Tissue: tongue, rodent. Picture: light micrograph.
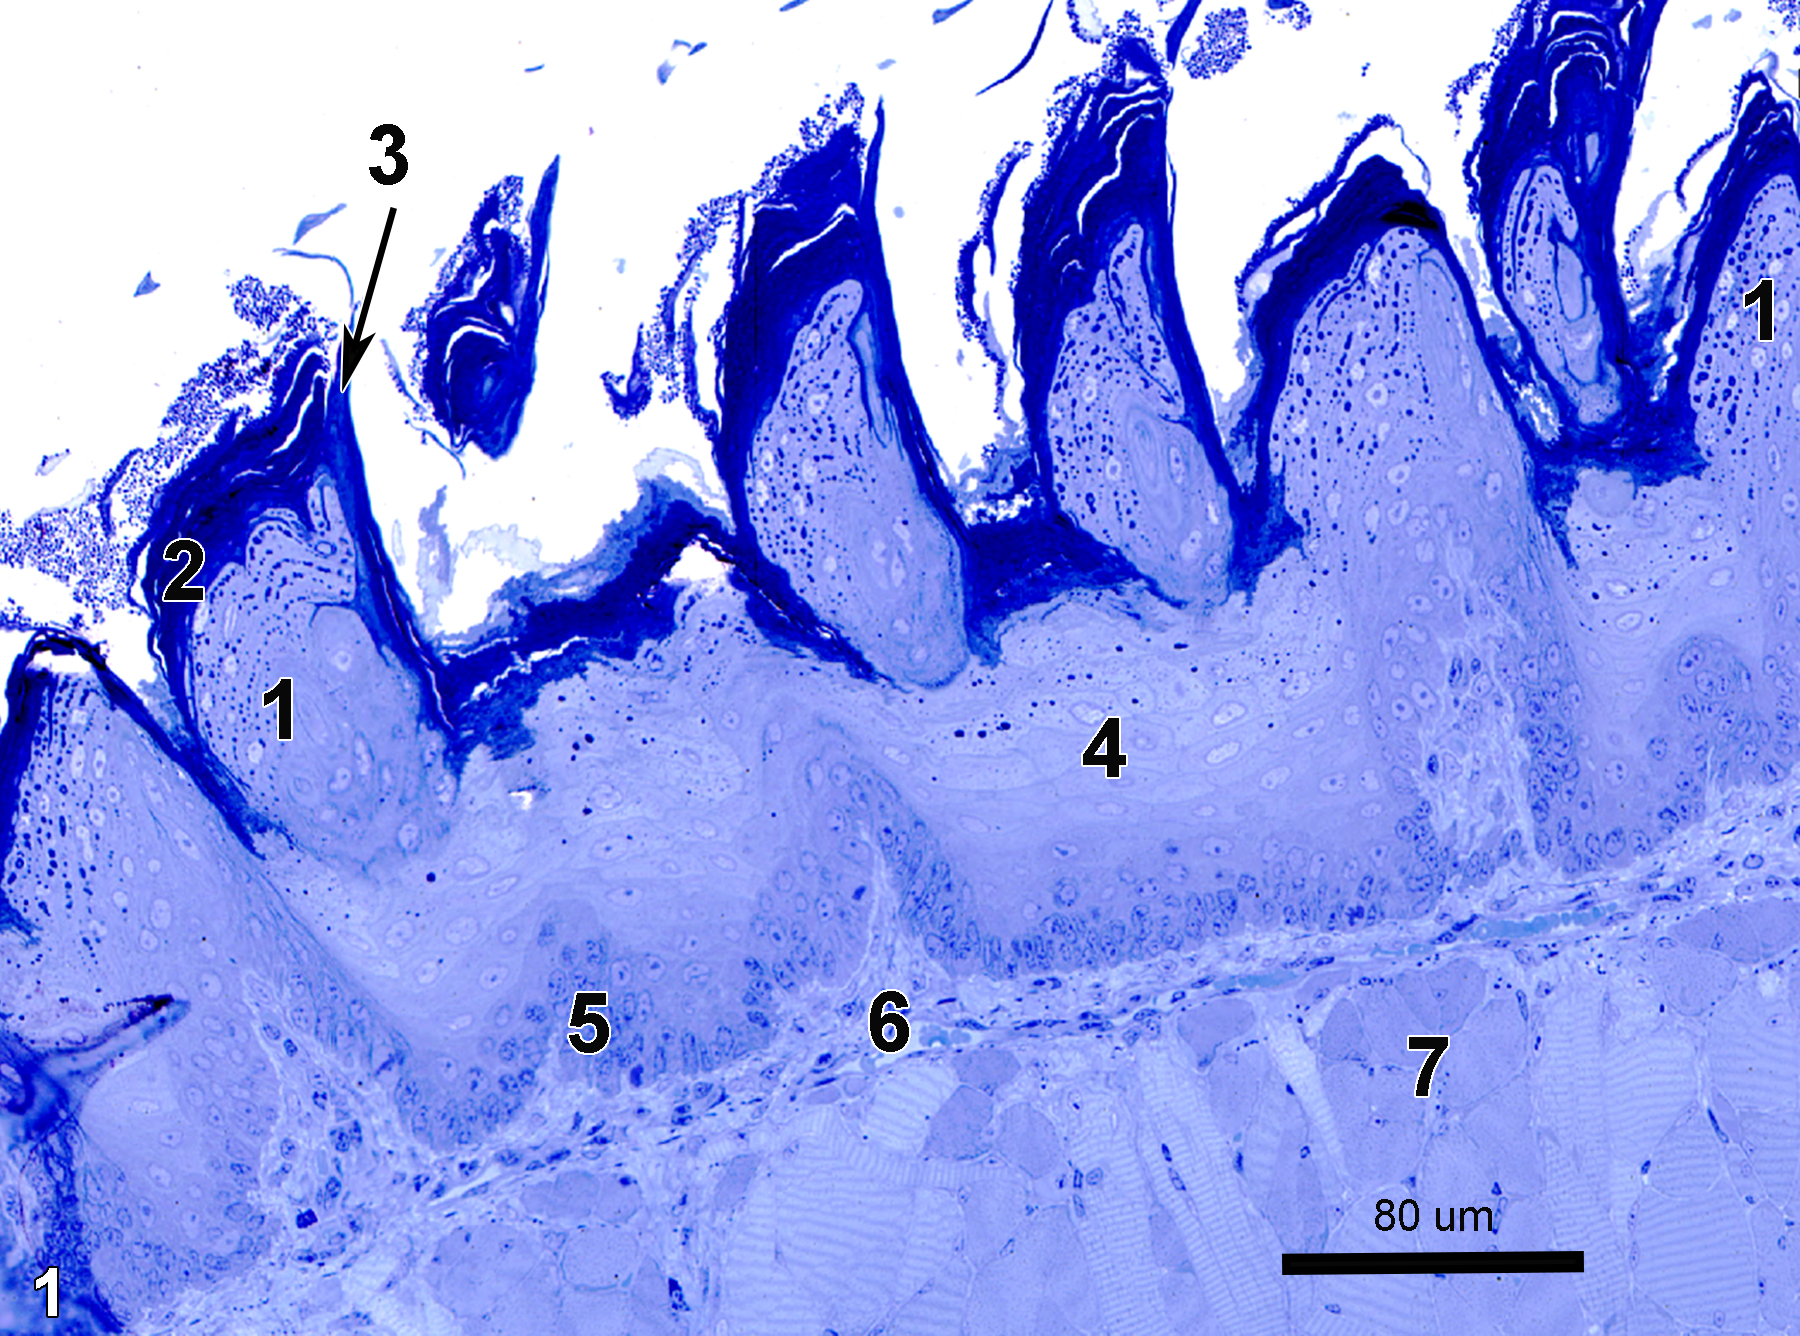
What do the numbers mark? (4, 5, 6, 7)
4 stratified squamous epithelial cell layers
5 layer of basal cells
6 lamina propria
7 striated muscle cell layer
